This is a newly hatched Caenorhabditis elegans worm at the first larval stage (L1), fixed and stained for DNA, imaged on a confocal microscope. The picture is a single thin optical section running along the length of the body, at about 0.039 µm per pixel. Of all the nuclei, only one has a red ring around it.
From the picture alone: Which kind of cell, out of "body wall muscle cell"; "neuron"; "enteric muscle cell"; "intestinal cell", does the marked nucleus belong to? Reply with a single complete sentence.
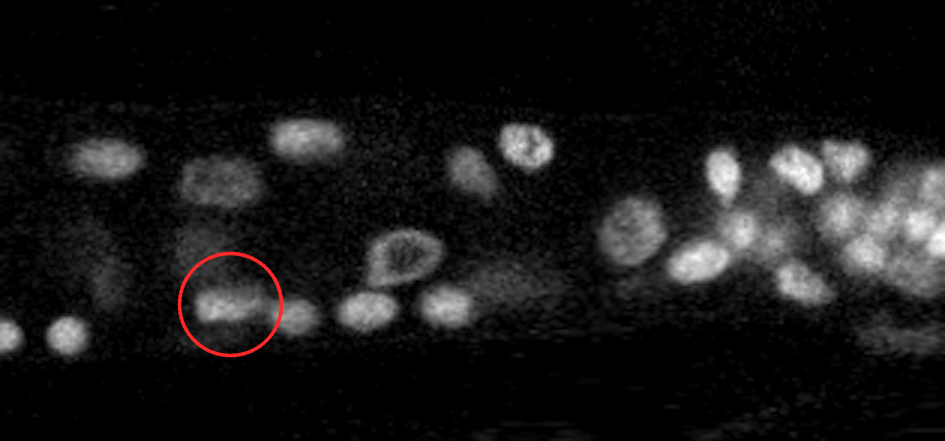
The marked nucleus is that of a body wall muscle cell.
